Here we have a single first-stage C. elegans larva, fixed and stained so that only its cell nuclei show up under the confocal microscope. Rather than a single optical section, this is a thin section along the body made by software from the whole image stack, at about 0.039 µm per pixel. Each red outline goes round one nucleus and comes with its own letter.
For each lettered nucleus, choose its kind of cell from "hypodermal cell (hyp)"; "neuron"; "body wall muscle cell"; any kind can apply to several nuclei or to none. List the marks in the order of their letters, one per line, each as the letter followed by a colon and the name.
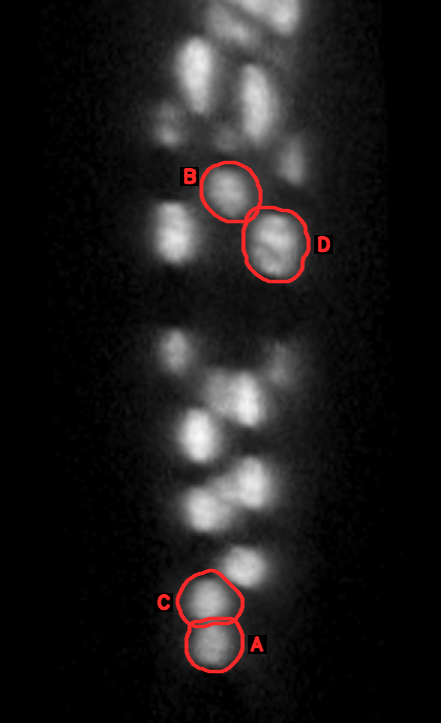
A: hypodermal cell (hyp)
B: hypodermal cell (hyp)
C: hypodermal cell (hyp)
D: body wall muscle cell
